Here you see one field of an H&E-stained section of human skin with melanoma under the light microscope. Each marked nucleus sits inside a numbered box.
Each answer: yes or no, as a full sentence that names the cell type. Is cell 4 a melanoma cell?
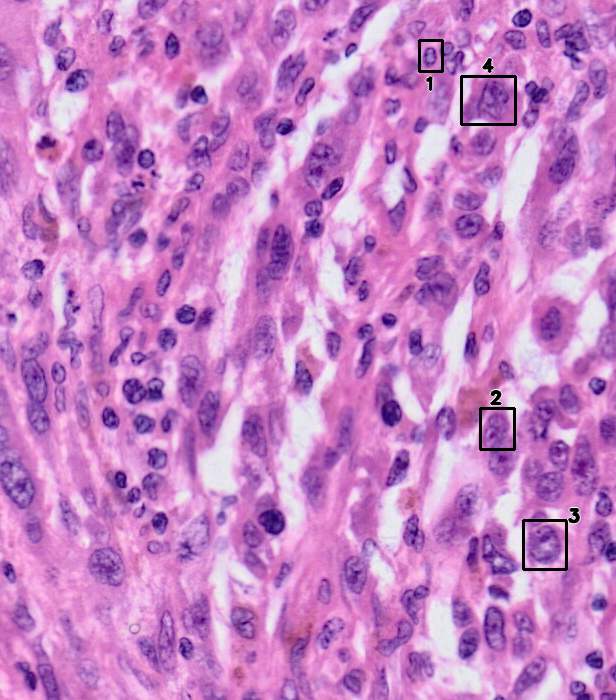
Yes, the cell at the mark numbered 4 is a melanoma cell.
